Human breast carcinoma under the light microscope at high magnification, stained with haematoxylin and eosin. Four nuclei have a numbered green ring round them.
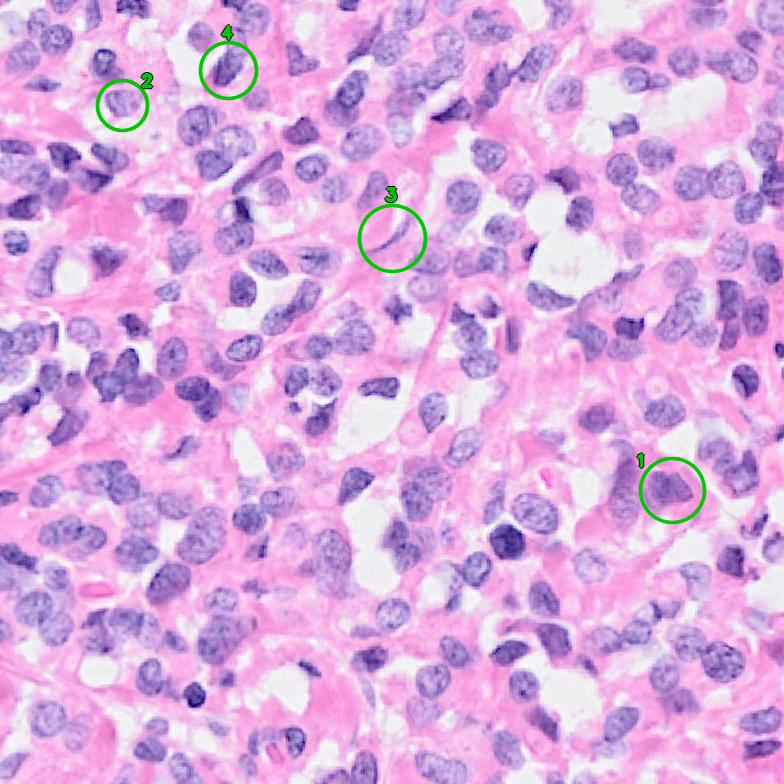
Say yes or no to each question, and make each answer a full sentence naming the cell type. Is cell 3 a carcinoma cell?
No, the one with number 3 is a fibroblast, not a carcinoma cell.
